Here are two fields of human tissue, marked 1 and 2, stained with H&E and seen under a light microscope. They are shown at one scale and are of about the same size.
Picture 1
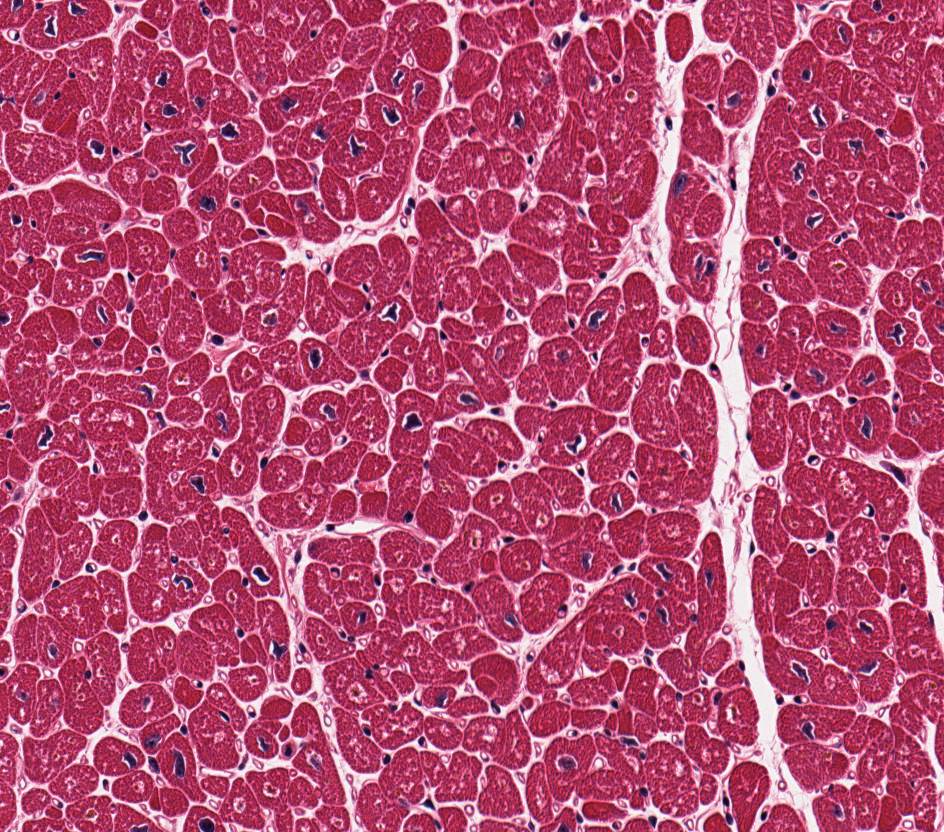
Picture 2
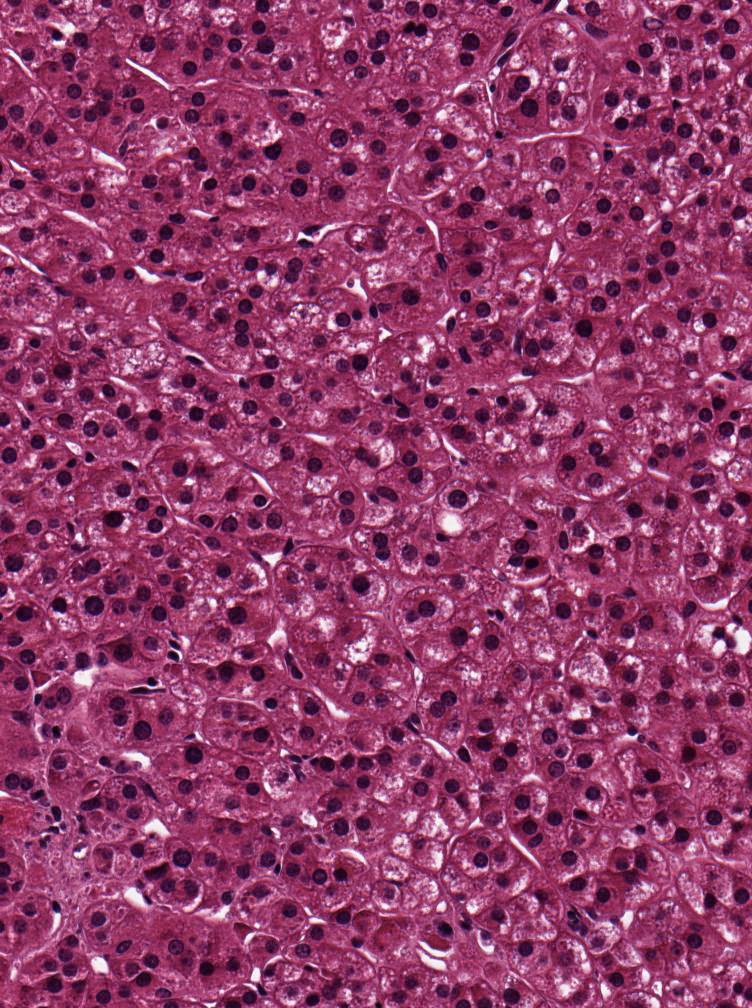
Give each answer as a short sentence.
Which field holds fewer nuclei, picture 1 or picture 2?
There are fewer nuclei in picture 1.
